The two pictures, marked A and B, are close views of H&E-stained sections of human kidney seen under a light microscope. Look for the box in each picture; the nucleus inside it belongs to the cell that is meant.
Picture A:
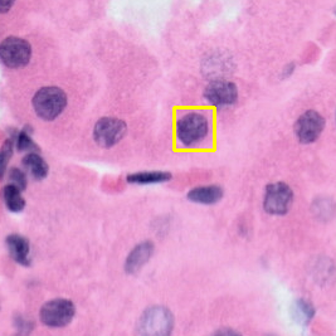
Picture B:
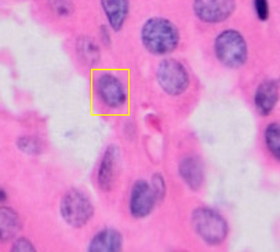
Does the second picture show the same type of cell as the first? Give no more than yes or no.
no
